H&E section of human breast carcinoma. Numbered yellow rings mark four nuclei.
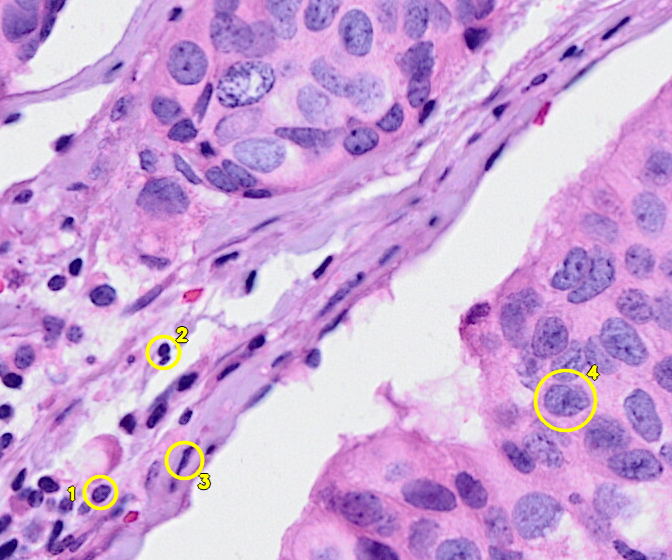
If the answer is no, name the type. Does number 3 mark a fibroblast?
Yes.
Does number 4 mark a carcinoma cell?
Yes.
